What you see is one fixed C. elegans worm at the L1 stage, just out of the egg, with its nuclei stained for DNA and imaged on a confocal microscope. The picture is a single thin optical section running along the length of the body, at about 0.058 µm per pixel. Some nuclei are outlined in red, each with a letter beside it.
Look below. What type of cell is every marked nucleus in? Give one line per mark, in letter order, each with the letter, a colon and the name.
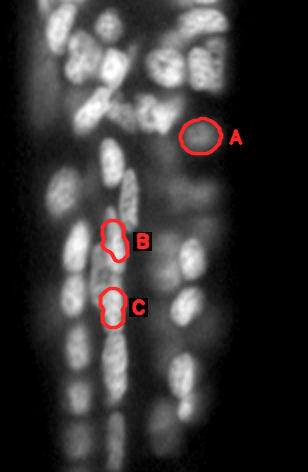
A: hypodermal cell (hyp)
B: pharyngeal epithelial cell
C: pharyngeal epithelial cell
